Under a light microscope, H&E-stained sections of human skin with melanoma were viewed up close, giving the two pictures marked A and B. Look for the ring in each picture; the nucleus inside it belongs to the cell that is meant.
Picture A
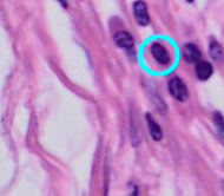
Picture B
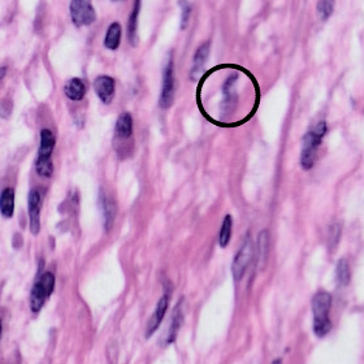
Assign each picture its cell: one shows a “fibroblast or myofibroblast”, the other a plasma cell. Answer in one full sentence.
The cell in picture A is a plasma cell, and the one in picture B is a “fibroblast or myofibroblast”.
